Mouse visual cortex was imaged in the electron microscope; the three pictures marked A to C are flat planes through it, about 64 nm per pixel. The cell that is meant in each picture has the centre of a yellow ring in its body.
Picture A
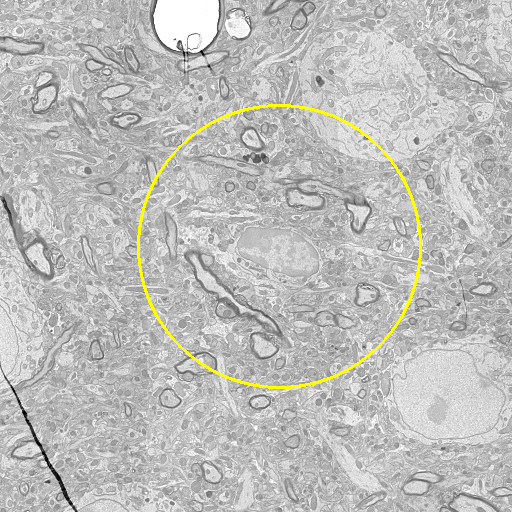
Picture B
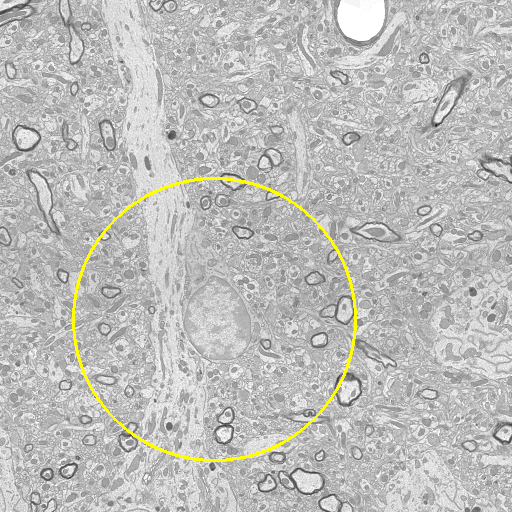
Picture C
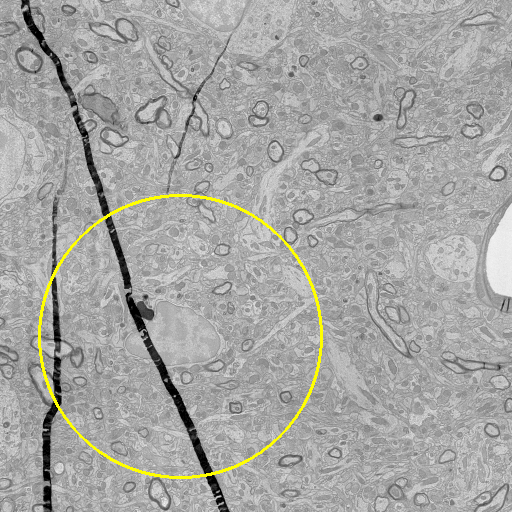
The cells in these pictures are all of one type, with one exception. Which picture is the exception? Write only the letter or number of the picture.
B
